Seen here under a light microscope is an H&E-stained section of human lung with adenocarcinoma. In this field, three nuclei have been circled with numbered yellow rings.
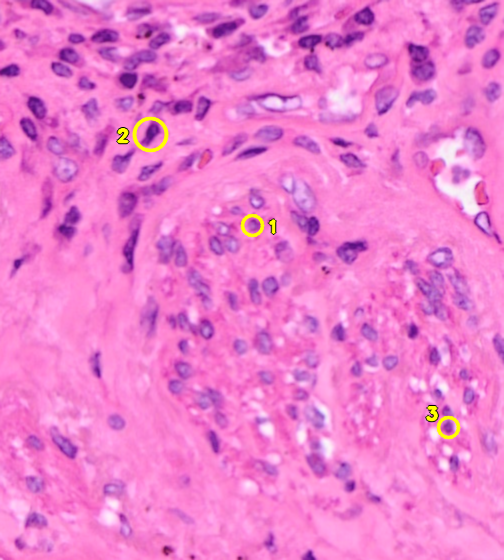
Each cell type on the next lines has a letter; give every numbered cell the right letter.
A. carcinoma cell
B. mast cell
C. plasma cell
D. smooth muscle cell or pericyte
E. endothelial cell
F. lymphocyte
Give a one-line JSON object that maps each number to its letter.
{"1": "D", "2": "C", "3": "D"}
